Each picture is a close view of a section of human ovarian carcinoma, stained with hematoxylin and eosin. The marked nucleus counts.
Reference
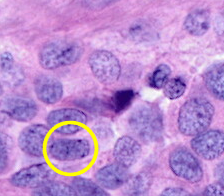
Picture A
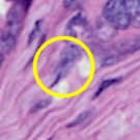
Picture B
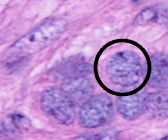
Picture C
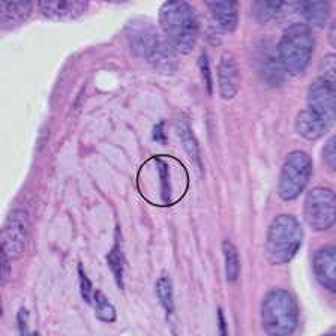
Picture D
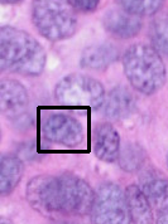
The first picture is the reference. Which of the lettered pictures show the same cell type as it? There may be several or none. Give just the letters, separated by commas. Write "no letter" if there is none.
B, D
